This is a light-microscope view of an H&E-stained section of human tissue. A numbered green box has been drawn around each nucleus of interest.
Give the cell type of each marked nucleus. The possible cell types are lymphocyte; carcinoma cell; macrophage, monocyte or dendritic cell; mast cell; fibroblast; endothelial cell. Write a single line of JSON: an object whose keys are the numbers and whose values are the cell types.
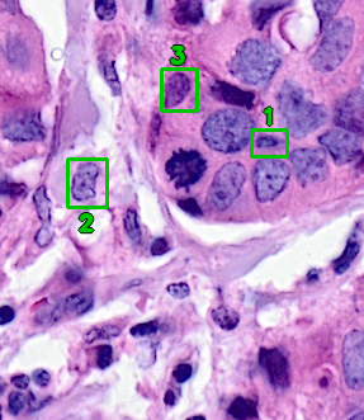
{"1": "carcinoma cell", "2": "macrophage, monocyte or dendritic cell", "3": "carcinoma cell"}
